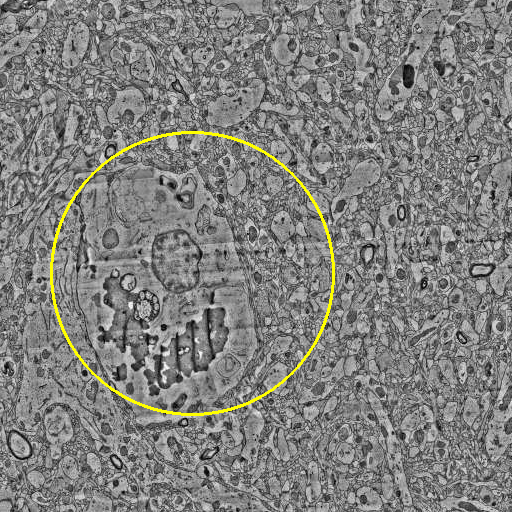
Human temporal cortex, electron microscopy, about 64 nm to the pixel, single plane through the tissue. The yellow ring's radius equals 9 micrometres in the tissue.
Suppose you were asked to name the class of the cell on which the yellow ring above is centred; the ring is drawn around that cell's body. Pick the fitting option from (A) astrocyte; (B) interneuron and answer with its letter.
A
